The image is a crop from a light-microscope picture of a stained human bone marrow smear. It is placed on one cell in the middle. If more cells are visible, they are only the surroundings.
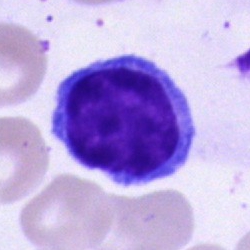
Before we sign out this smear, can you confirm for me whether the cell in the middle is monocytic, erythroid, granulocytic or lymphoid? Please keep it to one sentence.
The cell at the crop's center sits within the lymphoid lineage.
